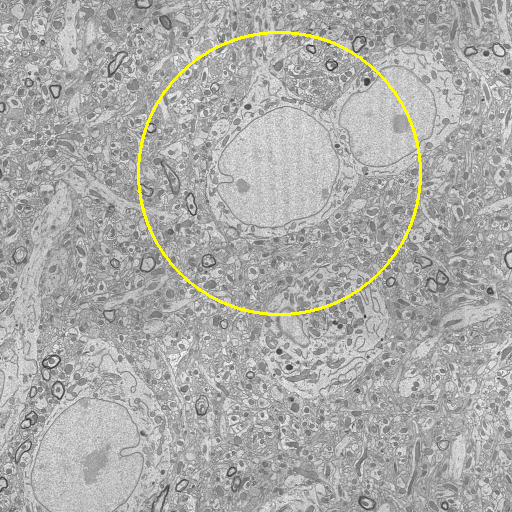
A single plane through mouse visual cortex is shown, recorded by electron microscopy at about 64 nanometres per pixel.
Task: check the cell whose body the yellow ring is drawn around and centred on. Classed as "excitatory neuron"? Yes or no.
Yes, it is classed that way.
